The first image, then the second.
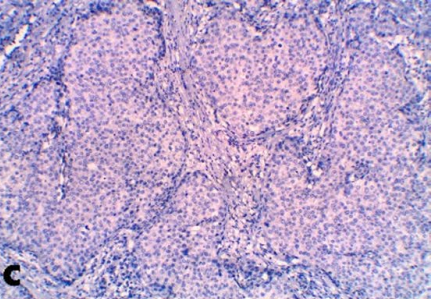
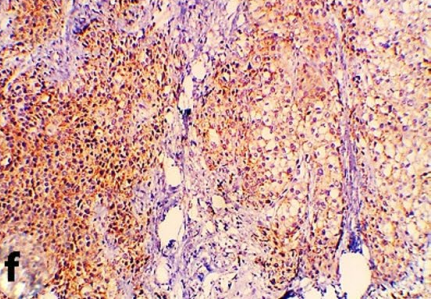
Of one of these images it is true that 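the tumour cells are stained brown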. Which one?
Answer: The second image.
